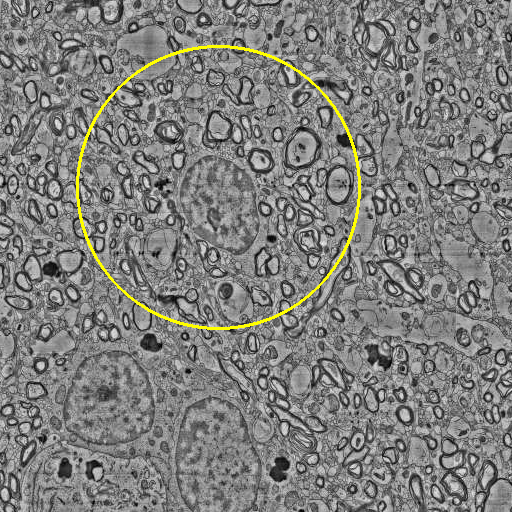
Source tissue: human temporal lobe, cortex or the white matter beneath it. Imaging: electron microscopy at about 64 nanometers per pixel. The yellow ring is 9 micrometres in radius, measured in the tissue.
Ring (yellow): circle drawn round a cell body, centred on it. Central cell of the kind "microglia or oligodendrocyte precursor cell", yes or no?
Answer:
no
